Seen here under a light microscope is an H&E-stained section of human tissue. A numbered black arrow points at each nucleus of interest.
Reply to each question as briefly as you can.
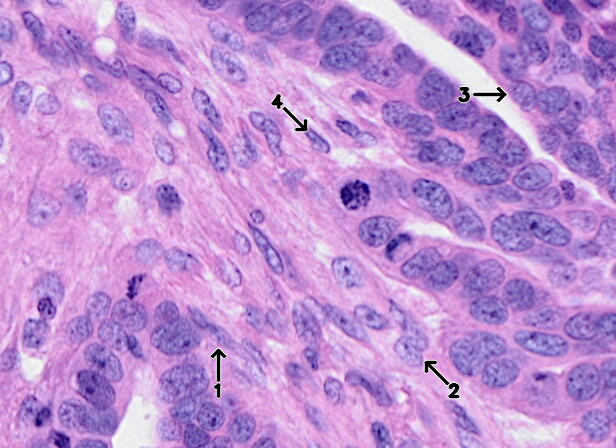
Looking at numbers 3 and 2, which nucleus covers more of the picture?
2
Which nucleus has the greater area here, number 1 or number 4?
1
